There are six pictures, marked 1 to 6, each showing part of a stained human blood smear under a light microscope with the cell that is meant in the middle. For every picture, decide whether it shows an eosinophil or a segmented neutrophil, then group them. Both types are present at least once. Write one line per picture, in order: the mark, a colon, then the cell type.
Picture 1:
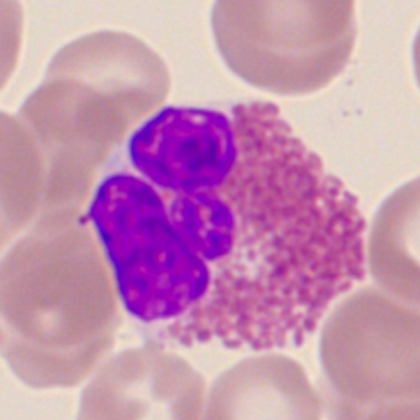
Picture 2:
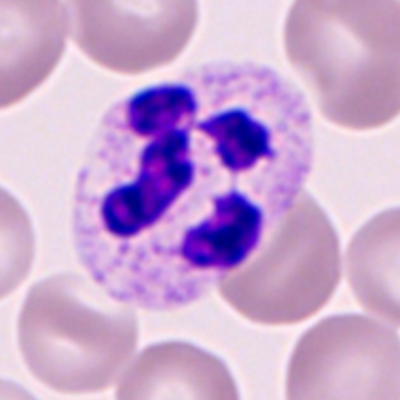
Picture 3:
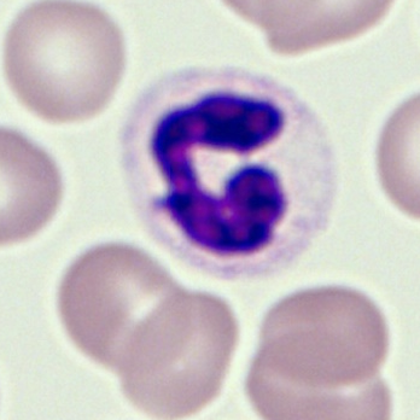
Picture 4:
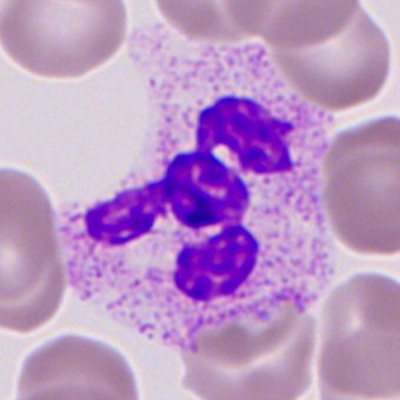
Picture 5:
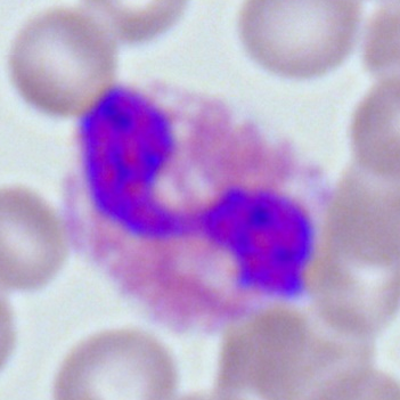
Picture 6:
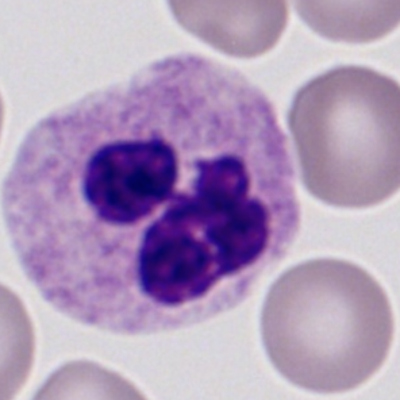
1: eosinophil
2: segmented neutrophil
3: segmented neutrophil
4: segmented neutrophil
5: eosinophil
6: segmented neutrophil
